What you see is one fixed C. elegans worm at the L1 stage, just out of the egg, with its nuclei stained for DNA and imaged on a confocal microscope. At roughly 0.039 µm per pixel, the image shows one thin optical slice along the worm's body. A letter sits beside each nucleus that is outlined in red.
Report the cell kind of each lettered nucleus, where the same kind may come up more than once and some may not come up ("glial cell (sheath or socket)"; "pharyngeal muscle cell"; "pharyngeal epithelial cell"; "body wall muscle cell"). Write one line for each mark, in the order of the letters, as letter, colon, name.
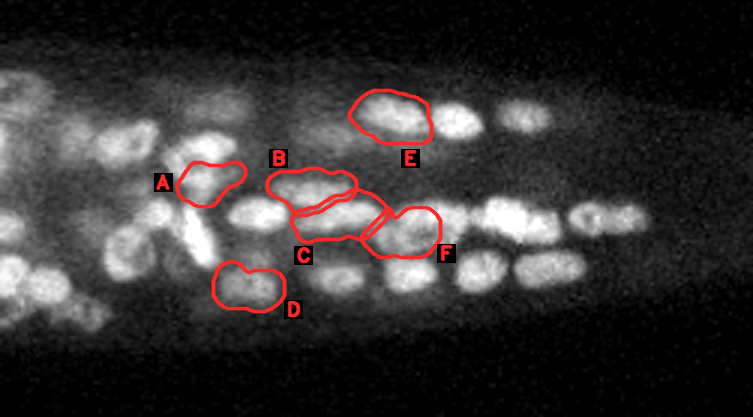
A: pharyngeal muscle cell
B: pharyngeal muscle cell
C: pharyngeal epithelial cell
D: body wall muscle cell
E: glial cell (sheath or socket)
F: pharyngeal muscle cell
